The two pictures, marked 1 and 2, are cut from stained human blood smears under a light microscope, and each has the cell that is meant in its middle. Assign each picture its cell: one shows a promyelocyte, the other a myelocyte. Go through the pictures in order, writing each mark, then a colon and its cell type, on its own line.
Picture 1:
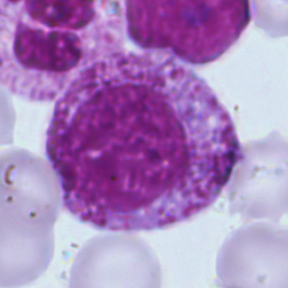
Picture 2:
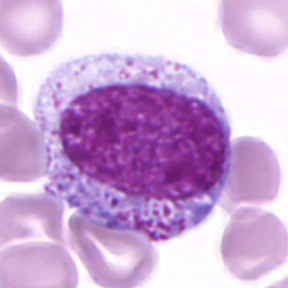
1: myelocyte
2: promyelocyte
